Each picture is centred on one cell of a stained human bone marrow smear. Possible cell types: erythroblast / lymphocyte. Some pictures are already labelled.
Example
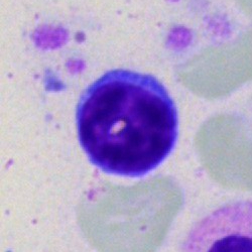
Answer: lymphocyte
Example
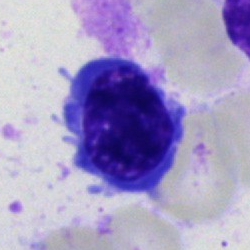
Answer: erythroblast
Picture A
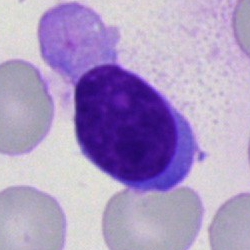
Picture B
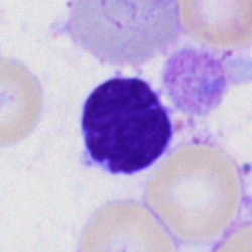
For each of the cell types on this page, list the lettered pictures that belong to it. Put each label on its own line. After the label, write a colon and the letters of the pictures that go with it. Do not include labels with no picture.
lymphocyte: A, B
